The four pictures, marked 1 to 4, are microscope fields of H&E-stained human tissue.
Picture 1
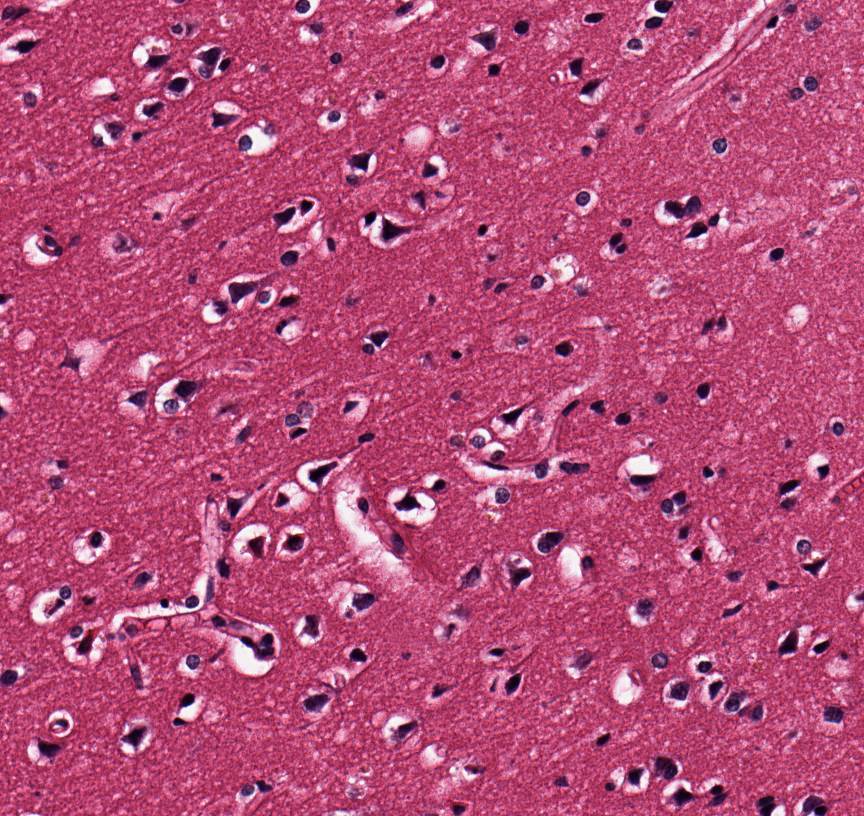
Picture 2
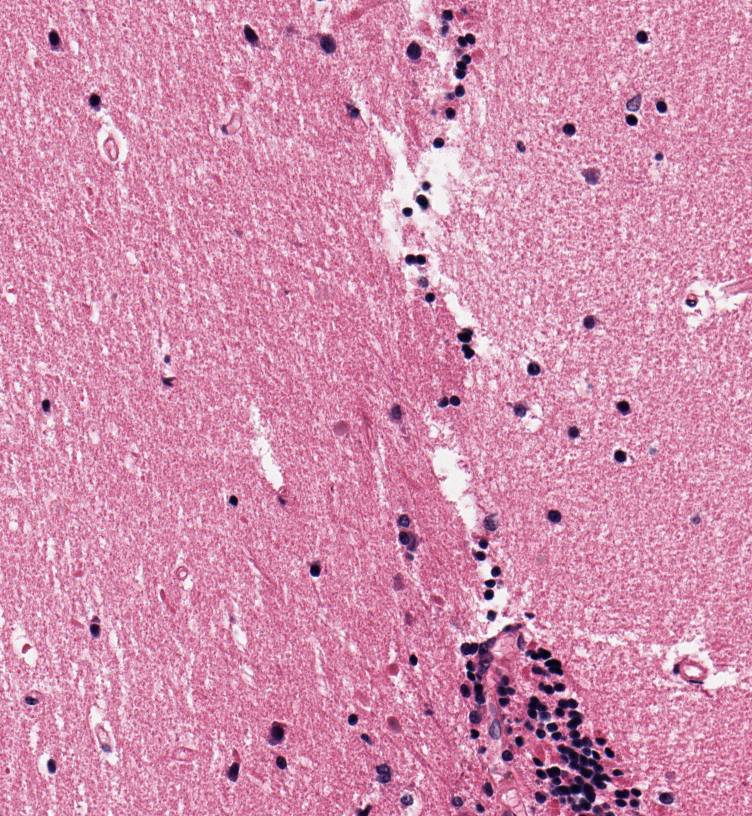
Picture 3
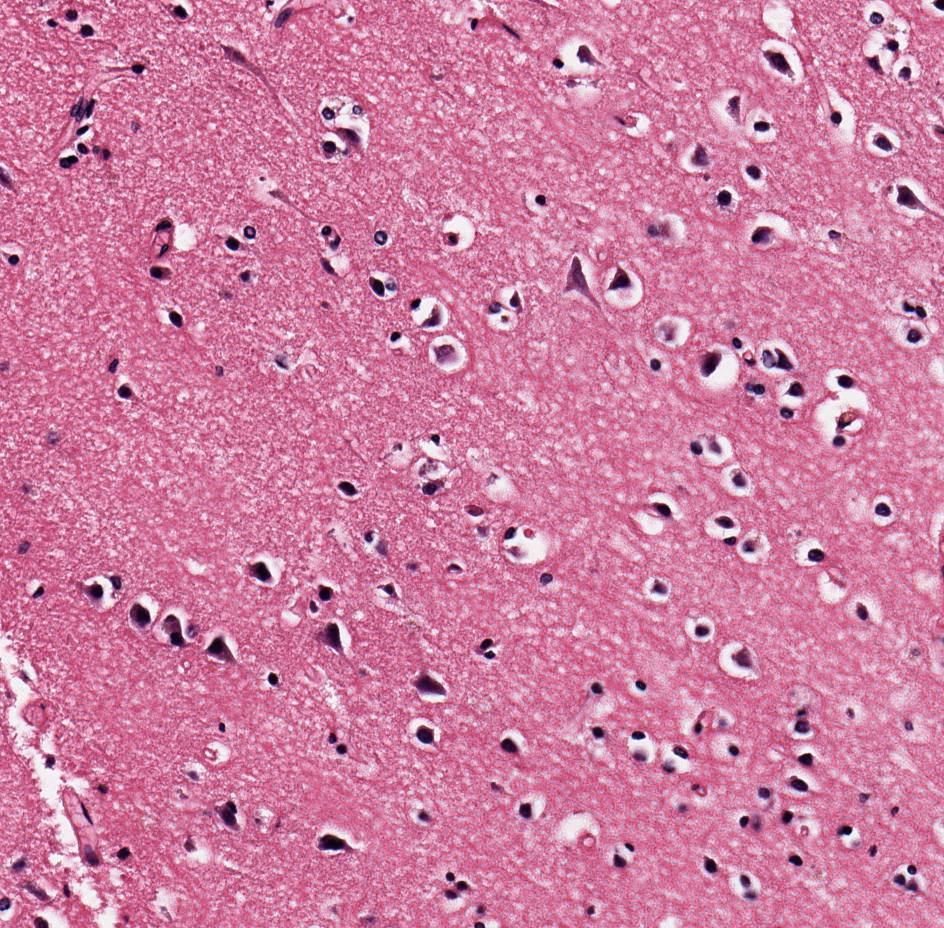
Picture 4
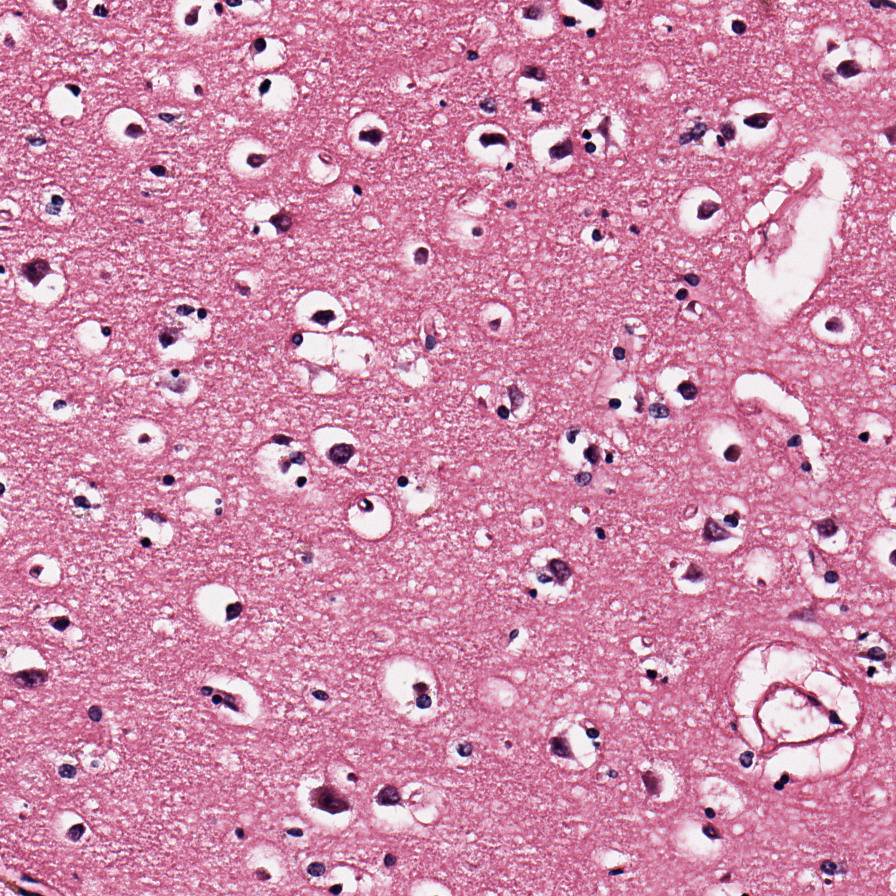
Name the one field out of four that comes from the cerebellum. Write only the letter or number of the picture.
2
